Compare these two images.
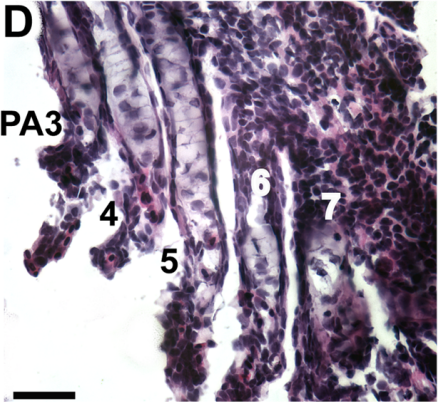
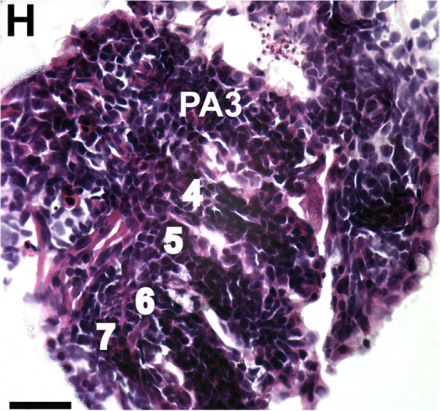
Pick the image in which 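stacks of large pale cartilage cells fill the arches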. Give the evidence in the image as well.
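The first image. Second image: the arches are packed with small dark-nucleated cells and no pale stacked cells. First image: large pale cells lie stacked in rows along the arches.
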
